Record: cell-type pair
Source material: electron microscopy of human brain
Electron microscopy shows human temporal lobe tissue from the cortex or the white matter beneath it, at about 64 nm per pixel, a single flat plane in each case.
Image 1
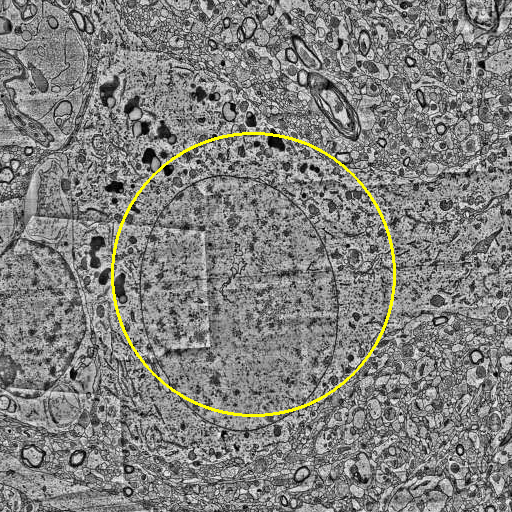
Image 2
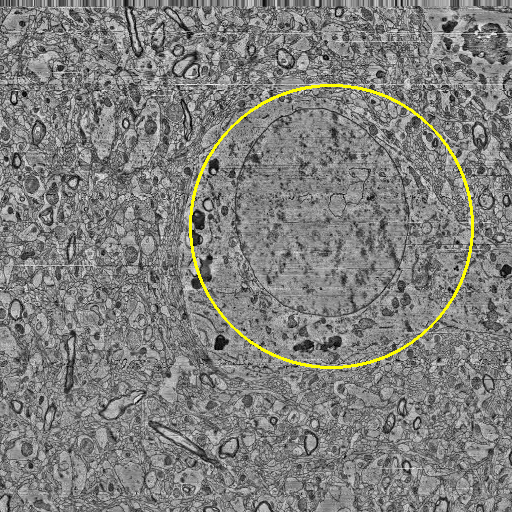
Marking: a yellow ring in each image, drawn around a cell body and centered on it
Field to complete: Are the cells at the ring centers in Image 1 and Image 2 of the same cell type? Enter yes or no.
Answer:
yes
